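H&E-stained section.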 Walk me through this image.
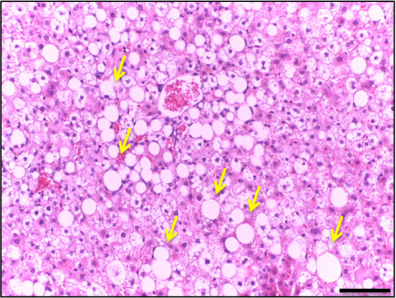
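This is liver parenchyma in which many hepatocytes hold round, clear, unstained vacuoles, the picture of fatty change. The vacuoles vary widely in size, from small droplets to large ones several times the size of a nucleus. Between them lie cells with pink cytoplasm and purple nuclei. A vessel near the centre contains packed red blood cells. The regular arrangement of the hepatocyte cords is largely obscured by the vacuoles.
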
